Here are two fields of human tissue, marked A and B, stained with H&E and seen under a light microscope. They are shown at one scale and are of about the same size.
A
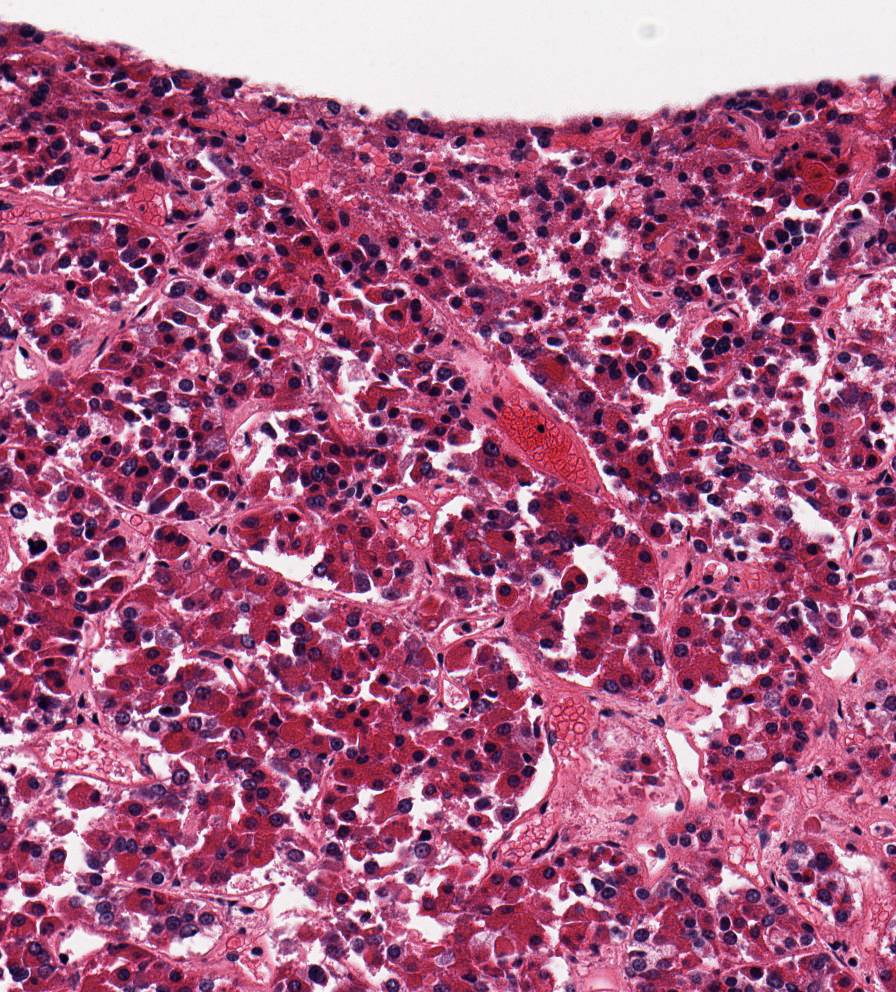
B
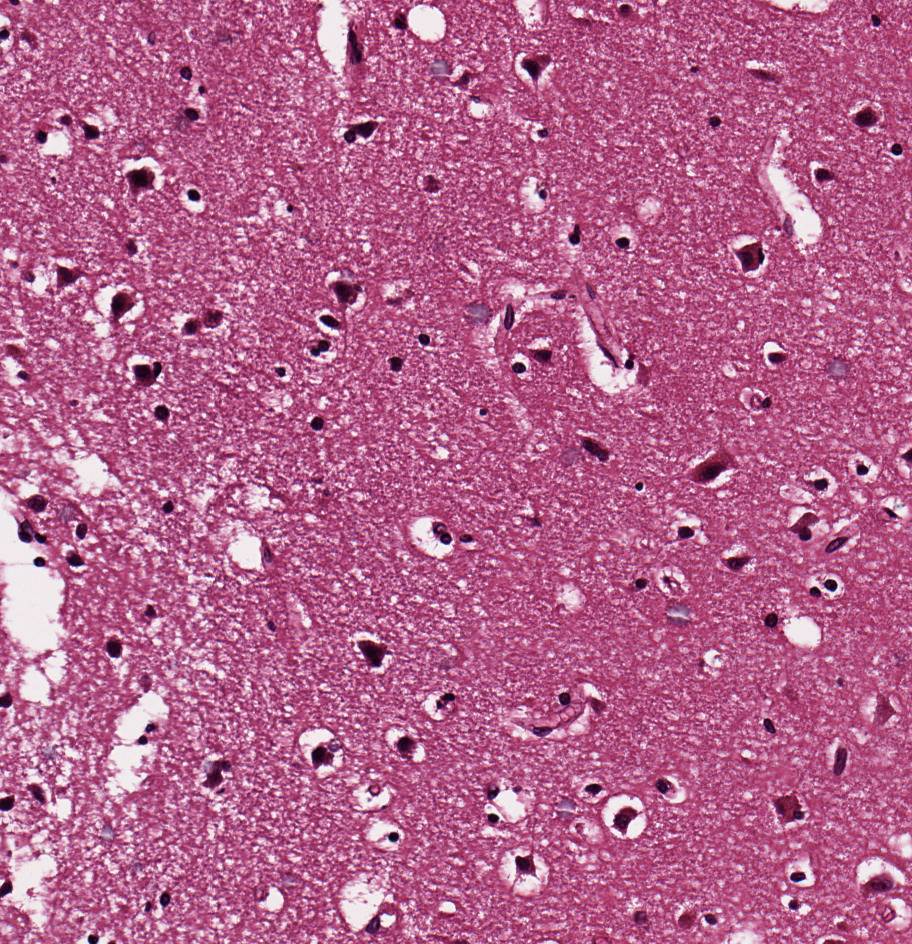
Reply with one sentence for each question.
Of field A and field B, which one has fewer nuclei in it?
Fewer nuclei lie in field B than in field A.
